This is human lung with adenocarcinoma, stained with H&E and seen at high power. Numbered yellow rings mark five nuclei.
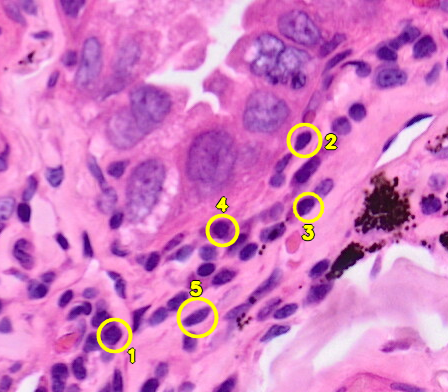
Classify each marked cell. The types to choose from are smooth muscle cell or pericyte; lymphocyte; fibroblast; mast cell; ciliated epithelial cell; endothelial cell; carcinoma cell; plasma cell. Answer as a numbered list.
1. lymphocyte
2. lymphocyte
3. plasma cell
4. plasma cell
5. lymphocyte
